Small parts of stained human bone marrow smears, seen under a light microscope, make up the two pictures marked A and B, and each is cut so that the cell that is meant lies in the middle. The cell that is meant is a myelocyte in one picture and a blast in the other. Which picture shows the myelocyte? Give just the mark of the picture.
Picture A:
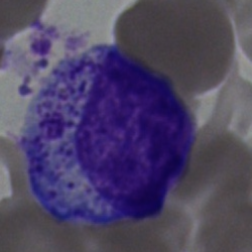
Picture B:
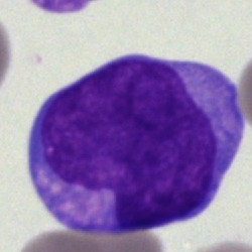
A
